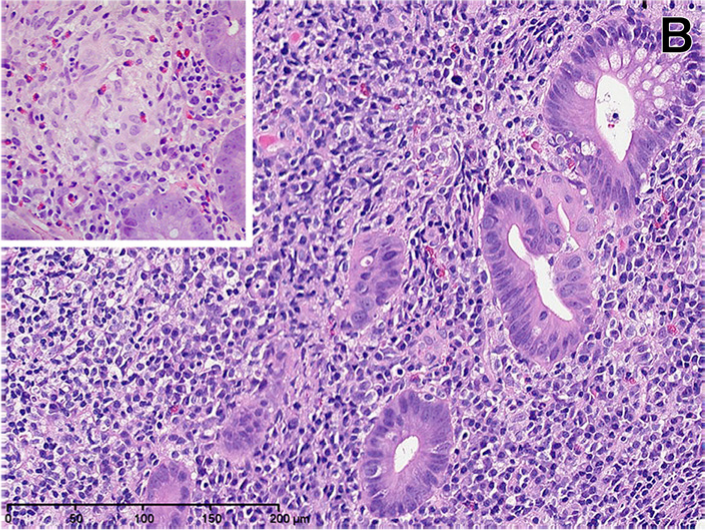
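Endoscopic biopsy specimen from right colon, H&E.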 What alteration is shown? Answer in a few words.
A: Crypt destruction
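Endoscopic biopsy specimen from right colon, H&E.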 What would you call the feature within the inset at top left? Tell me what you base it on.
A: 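Epithelioid cell granuloma. A pale pink cluster of cells with abundant cytoplasm and oval, vesicular nuclei. The cluster is loosely surrounded by small round inflammatory cells.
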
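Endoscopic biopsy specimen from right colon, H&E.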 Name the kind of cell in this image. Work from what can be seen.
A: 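Lymphocytes and plasma cells. The tissue between the glands is packed with small round cells with dark nuclei. Many of these cells have eccentric nuclei and a rim of purple cytoplasm.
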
